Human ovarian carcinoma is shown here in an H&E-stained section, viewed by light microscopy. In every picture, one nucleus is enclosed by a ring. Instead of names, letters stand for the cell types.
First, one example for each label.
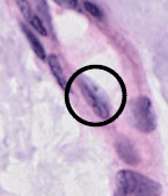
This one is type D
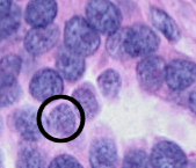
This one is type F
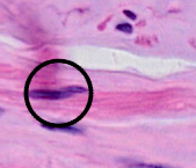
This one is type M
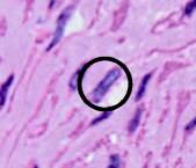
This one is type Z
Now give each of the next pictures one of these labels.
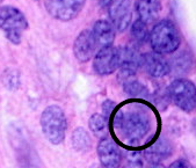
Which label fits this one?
type F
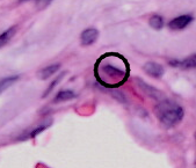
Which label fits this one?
type D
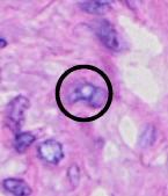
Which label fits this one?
type Z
